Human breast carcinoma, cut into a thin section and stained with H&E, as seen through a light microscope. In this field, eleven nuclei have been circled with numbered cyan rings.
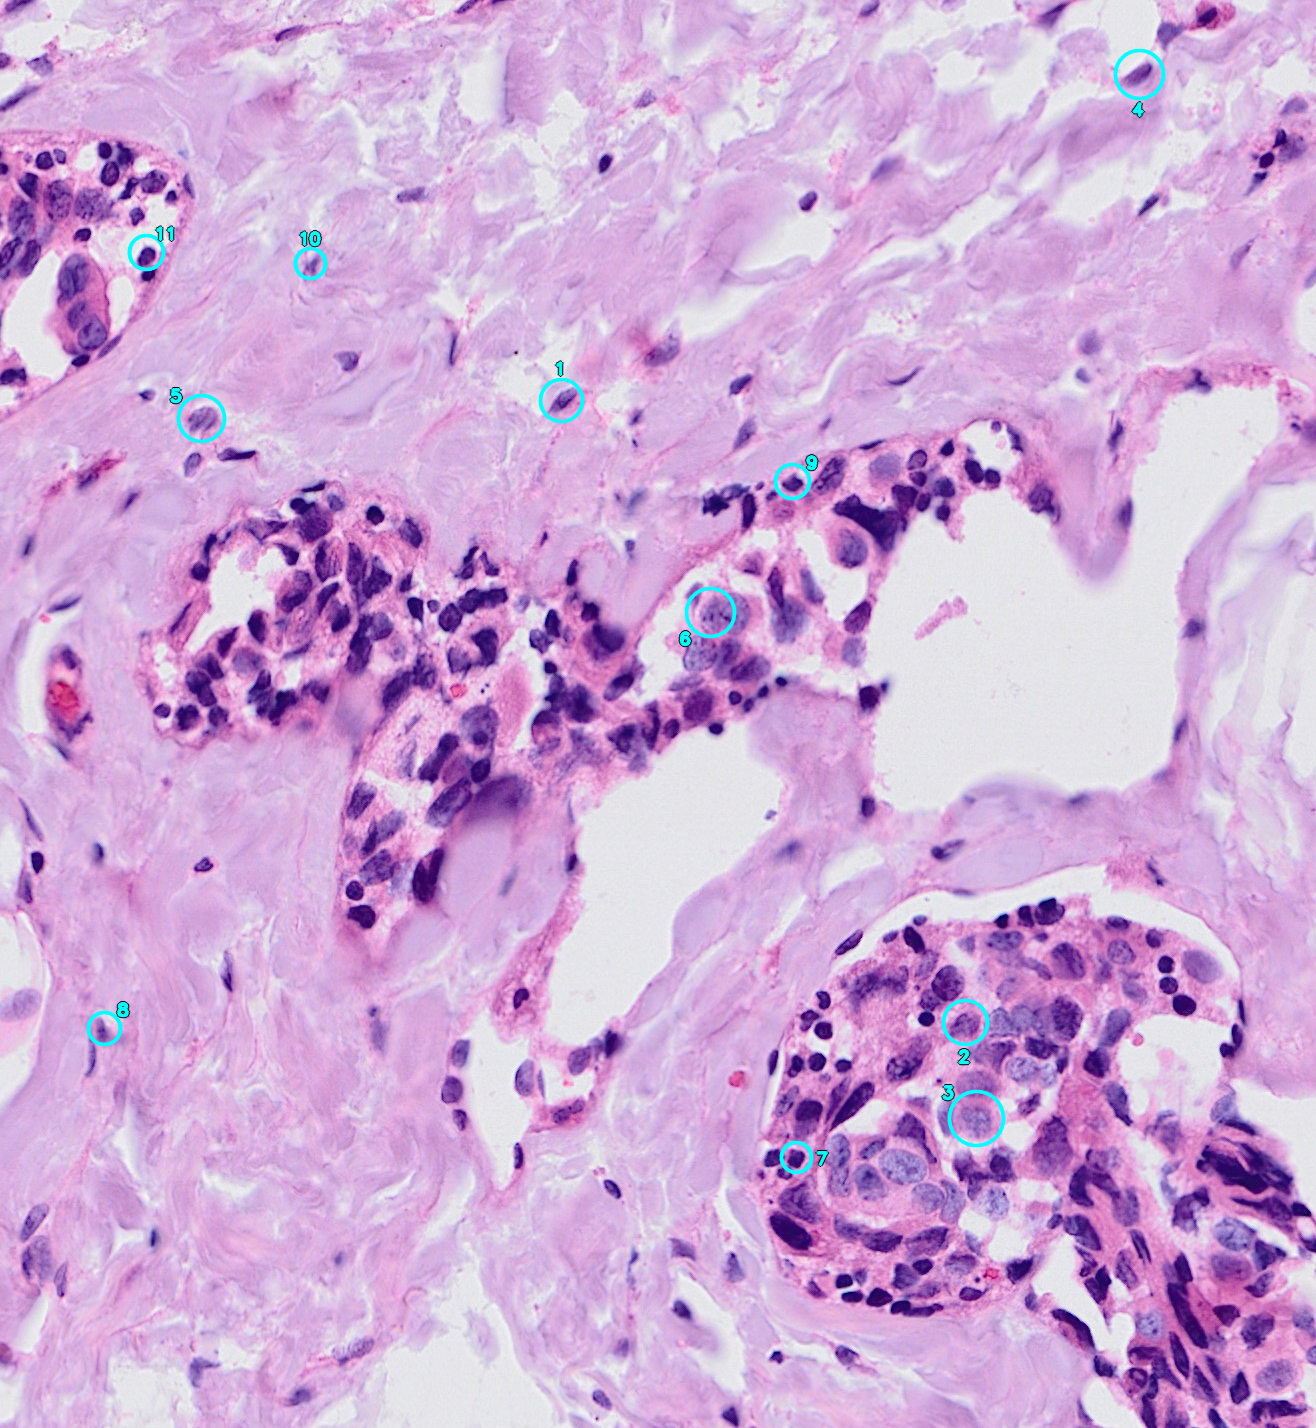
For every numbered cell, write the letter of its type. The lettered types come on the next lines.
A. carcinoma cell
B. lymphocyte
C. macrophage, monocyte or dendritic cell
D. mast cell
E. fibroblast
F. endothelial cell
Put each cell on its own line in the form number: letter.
1: E
2: A
3: A
4: E
5: E
6: A
7: B
8: E
9: B
10: E
11: B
